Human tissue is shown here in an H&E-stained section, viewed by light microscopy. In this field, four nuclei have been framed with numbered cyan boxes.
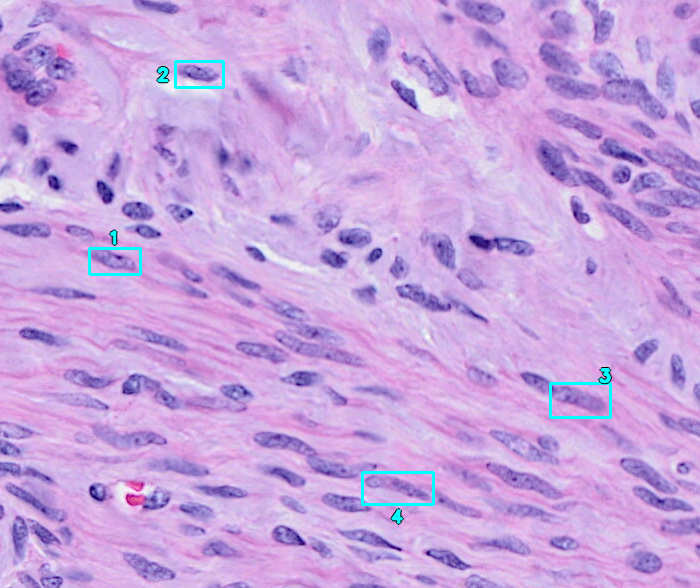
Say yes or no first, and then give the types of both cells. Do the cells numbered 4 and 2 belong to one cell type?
No, a fibroblast is what cell 2 is, while cell 4 is a smooth muscle cell.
